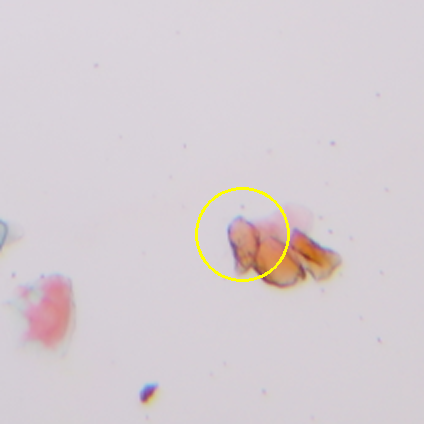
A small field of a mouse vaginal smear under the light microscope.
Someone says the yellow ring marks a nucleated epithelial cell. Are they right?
They are not: the ring marks a cornified epithelial cell.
